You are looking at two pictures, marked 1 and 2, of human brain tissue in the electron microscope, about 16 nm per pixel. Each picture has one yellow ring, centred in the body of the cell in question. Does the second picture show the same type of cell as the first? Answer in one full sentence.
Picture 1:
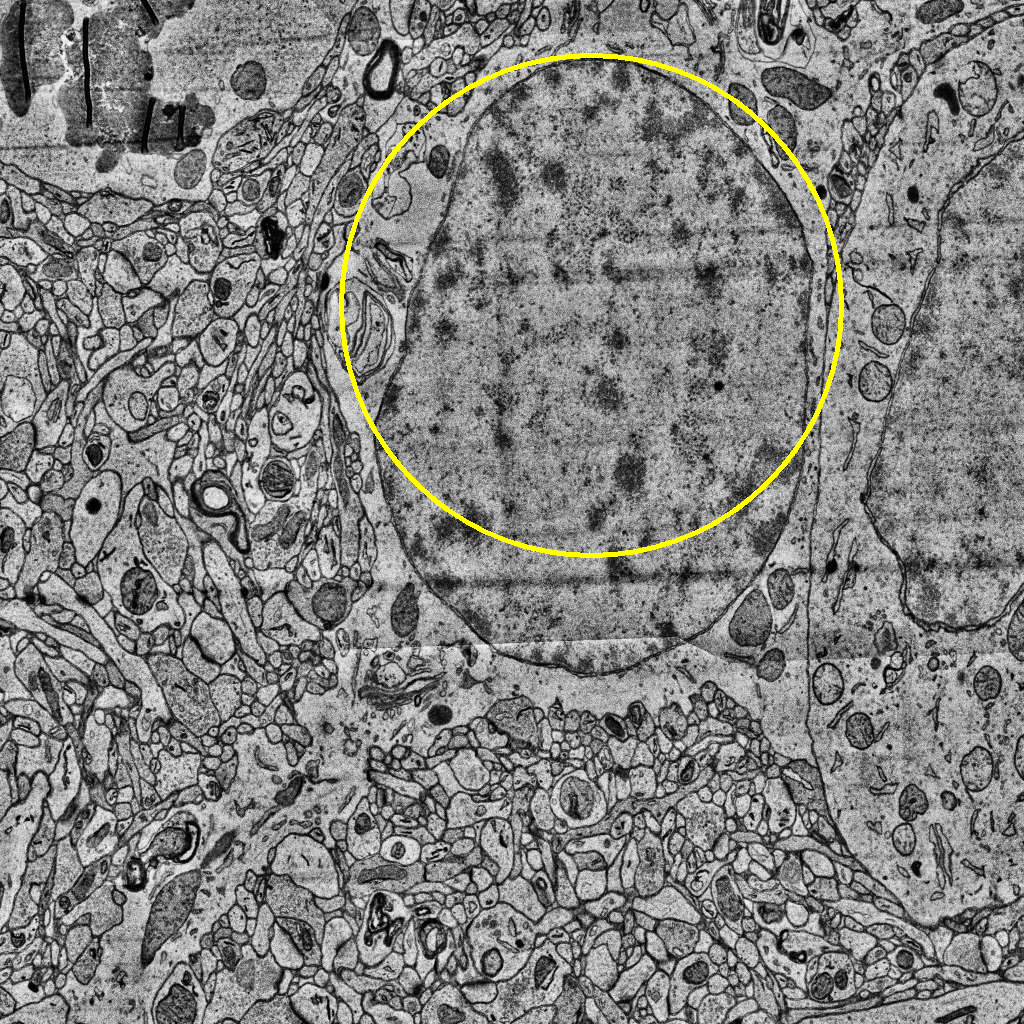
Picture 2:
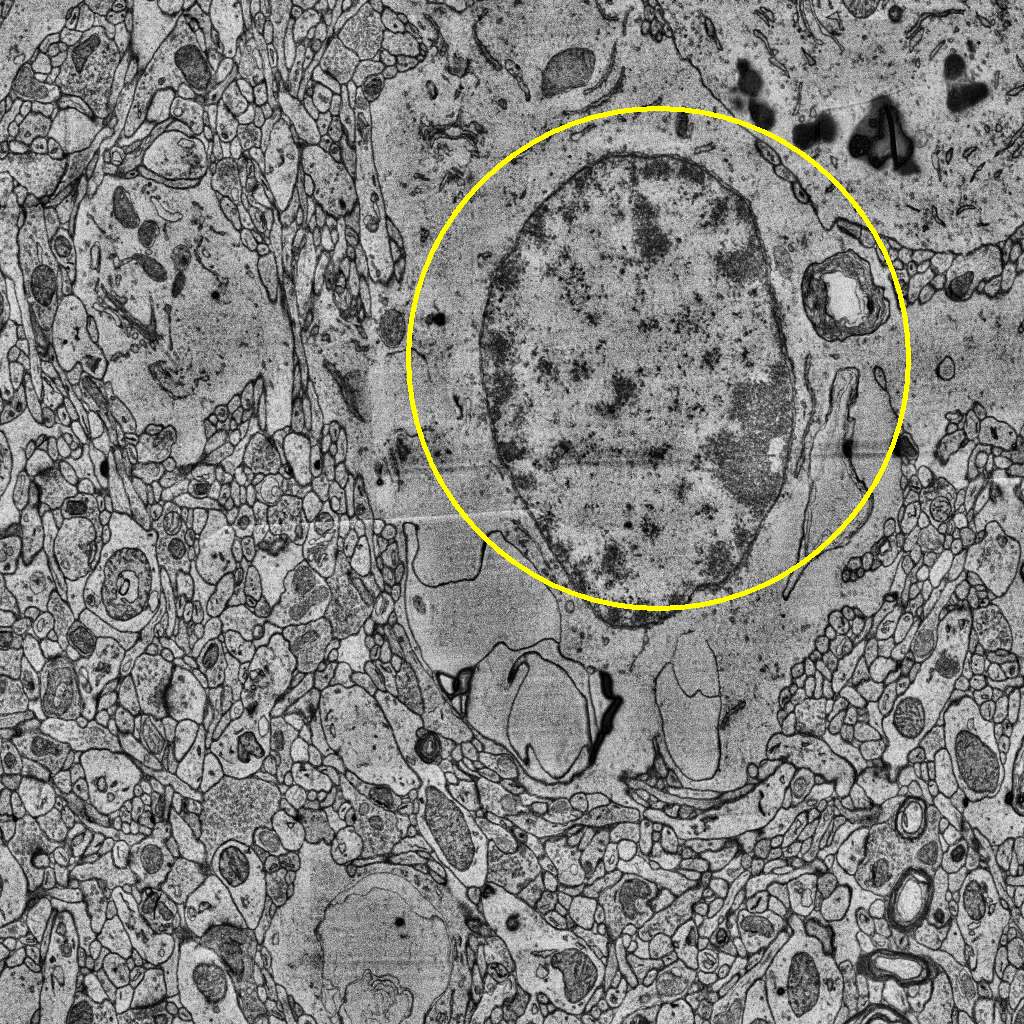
Yes, the two pictures both show astrocytes.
